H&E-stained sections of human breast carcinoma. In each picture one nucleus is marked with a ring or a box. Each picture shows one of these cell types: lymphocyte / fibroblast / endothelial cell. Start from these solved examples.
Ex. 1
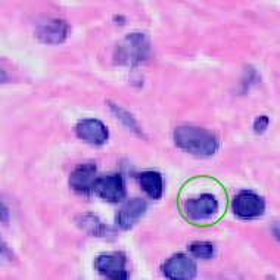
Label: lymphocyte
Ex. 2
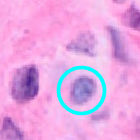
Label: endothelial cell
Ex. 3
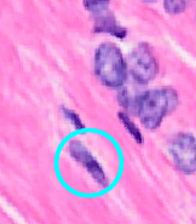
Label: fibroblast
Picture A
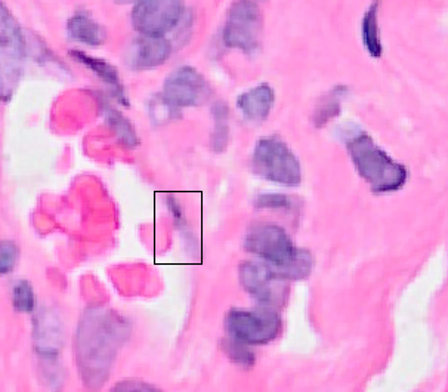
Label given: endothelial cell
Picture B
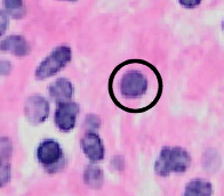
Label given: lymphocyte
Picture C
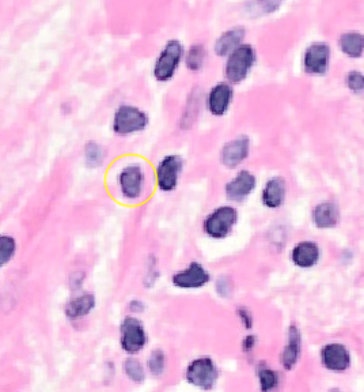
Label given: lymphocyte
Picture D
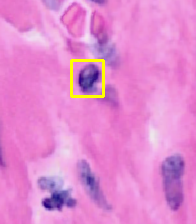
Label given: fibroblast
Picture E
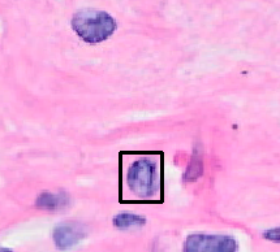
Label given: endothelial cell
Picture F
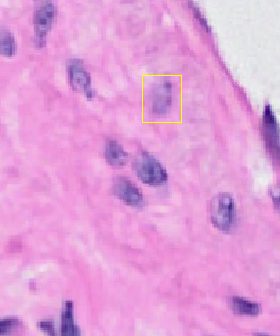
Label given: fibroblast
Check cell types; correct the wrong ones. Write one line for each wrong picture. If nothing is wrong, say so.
D should be lymphocyte, not fibroblast
F should be endothelial cell, not fibroblast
